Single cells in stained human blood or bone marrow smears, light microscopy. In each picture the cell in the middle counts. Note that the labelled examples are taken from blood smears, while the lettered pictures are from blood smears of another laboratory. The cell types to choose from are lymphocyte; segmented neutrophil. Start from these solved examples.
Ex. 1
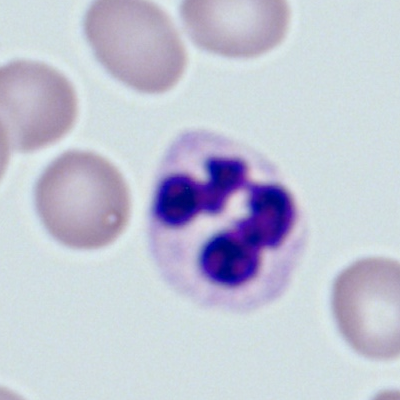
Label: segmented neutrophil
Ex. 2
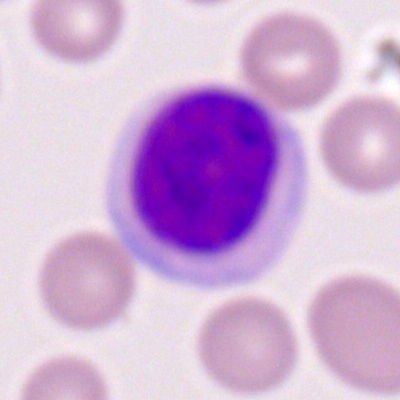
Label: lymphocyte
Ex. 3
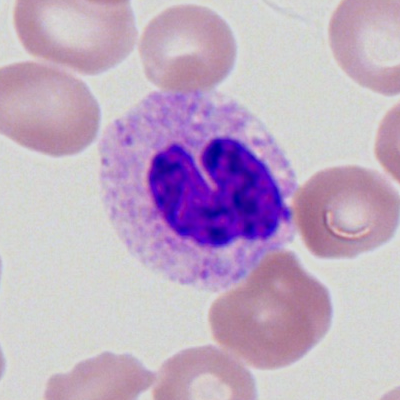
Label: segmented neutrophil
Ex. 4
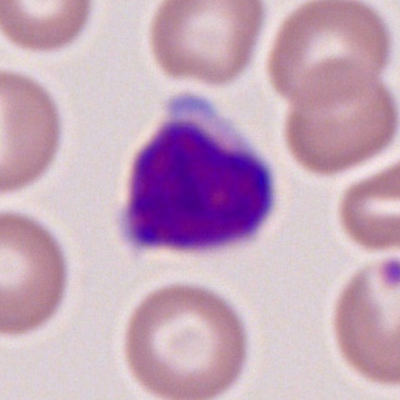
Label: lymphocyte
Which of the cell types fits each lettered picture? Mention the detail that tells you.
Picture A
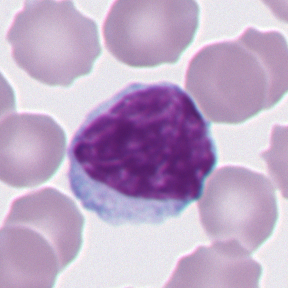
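Answer: lymphocyte. The nucleus fills most of the cell and sits toward its upper right.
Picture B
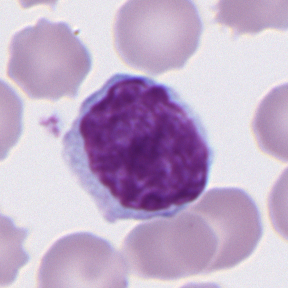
Answer: lymphocyte. The nucleus is a single unlobed mass.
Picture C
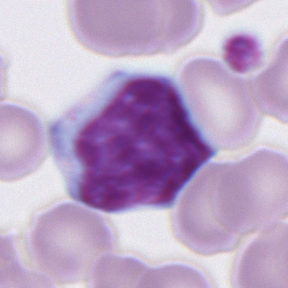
Answer: lymphocyte. The cytoplasm is scant, forming only a narrow rim beside the nucleus.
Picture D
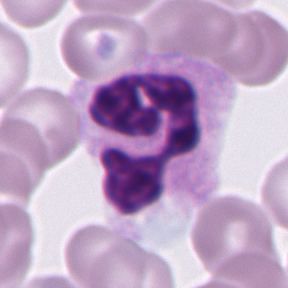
Answer: segmented neutrophil. The cytoplasm is plentiful and pale pinkish-lilac.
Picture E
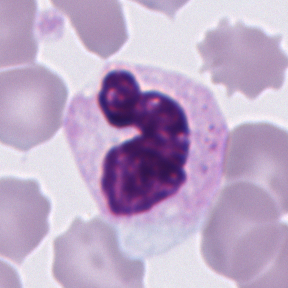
Answer: segmented neutrophil. The cytoplasm is plentiful and pale pink-lilac.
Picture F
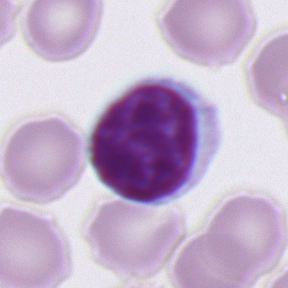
Answer: lymphocyte. The cytoplasm forms a thin crescent mainly on the right side of the nucleus.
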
